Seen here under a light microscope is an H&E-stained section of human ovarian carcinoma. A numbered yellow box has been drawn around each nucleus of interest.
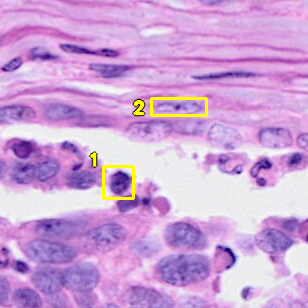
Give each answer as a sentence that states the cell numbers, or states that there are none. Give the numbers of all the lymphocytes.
Just one numbered cell is a lymphocyte, and that cell is number 1.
